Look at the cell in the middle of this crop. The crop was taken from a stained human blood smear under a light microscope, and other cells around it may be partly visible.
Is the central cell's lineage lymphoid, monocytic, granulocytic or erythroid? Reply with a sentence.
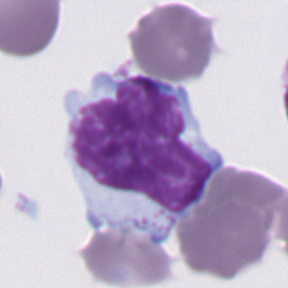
Counted among cells of the lymphoid lineage is the central cell.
